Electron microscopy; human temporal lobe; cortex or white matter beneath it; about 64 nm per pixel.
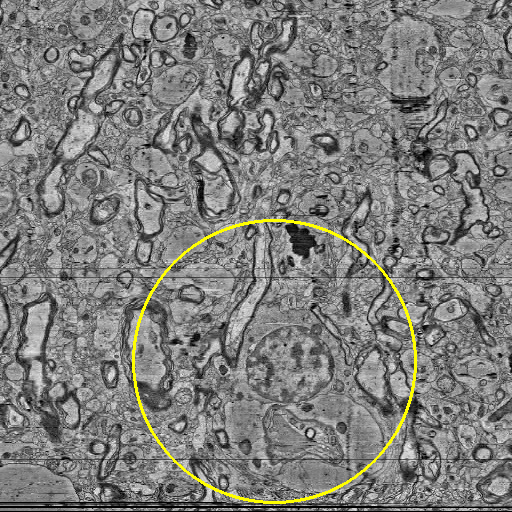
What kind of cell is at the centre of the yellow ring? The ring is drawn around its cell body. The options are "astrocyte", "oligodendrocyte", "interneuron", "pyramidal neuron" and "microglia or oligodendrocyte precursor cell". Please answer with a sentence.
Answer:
The yellow ring marks the cell body of an oligodendrocyte.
